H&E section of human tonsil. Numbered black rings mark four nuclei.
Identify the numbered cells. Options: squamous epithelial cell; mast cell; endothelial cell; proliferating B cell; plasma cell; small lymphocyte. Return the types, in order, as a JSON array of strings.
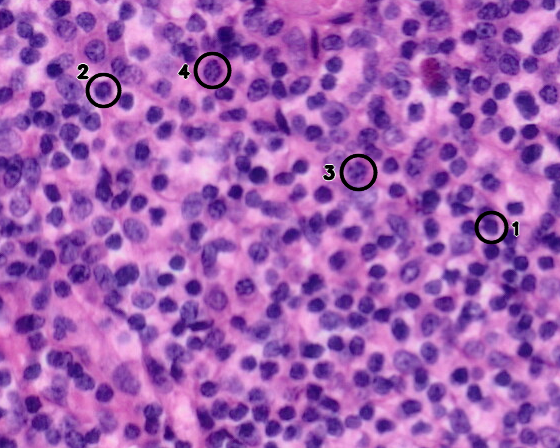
["small lymphocyte", "plasma cell", "plasma cell", "plasma cell"]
